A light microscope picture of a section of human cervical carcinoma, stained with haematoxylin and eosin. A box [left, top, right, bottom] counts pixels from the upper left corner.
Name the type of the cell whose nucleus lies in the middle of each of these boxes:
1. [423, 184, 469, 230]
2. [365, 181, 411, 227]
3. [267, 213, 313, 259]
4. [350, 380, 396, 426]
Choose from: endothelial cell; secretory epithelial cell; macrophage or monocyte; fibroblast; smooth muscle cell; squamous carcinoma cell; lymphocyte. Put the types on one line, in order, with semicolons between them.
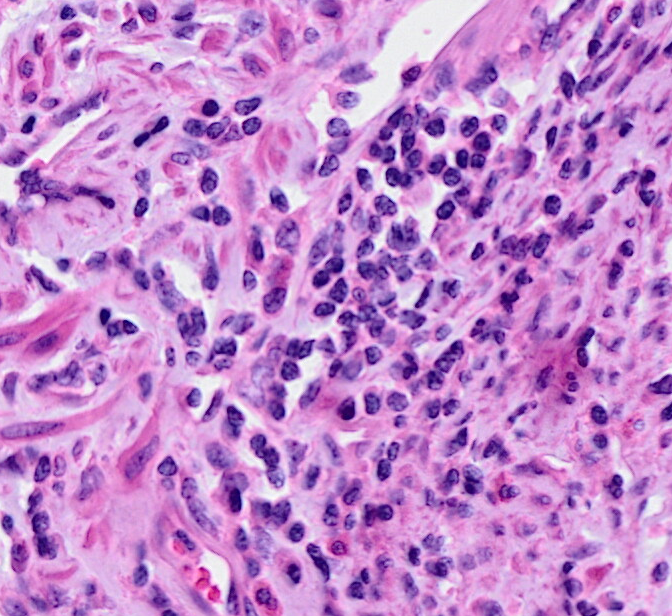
lymphocyte; lymphocyte; macrophage or monocyte; lymphocyte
